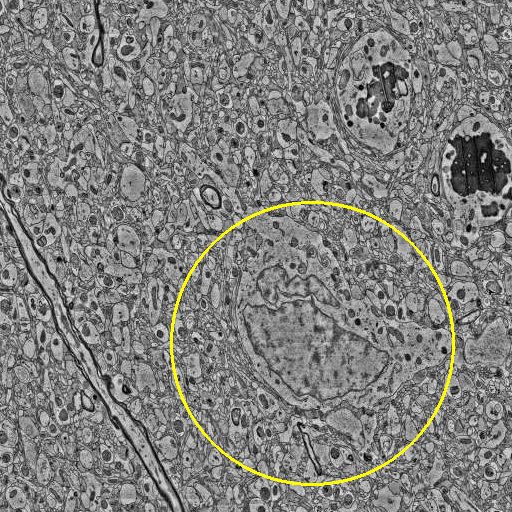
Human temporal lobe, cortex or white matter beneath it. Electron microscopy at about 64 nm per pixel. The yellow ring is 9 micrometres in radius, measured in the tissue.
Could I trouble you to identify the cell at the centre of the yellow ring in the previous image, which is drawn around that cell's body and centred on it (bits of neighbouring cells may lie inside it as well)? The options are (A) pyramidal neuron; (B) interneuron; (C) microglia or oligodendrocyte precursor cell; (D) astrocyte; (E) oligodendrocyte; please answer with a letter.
B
